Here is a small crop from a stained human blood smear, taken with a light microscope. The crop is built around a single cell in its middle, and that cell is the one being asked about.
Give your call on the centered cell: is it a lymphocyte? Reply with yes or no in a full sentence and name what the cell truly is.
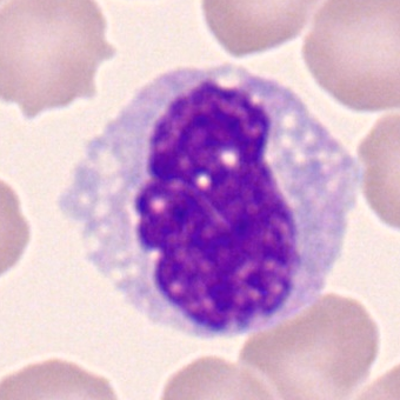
No, the cell in the middle is recognised as a monocyte rather than a lymphocyte.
